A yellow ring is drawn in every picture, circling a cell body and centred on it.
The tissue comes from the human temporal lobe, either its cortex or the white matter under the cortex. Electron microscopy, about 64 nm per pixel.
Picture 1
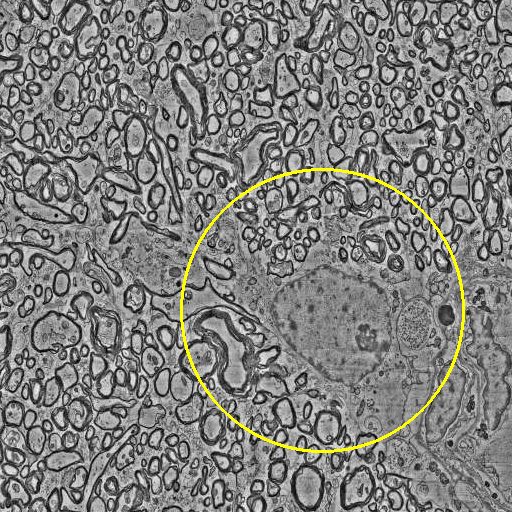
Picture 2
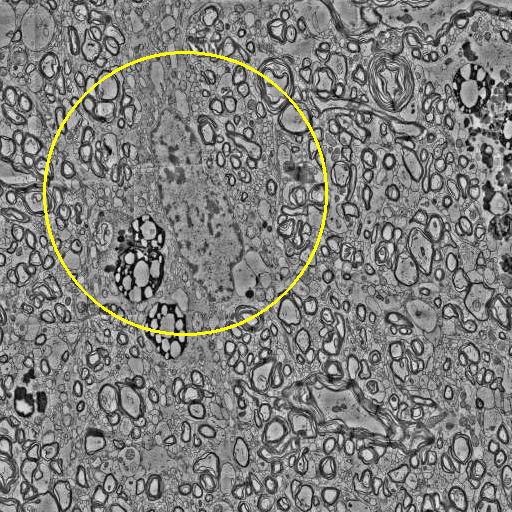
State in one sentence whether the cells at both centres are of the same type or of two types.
The cells at the two ring centres, one per picture, are of the same type.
